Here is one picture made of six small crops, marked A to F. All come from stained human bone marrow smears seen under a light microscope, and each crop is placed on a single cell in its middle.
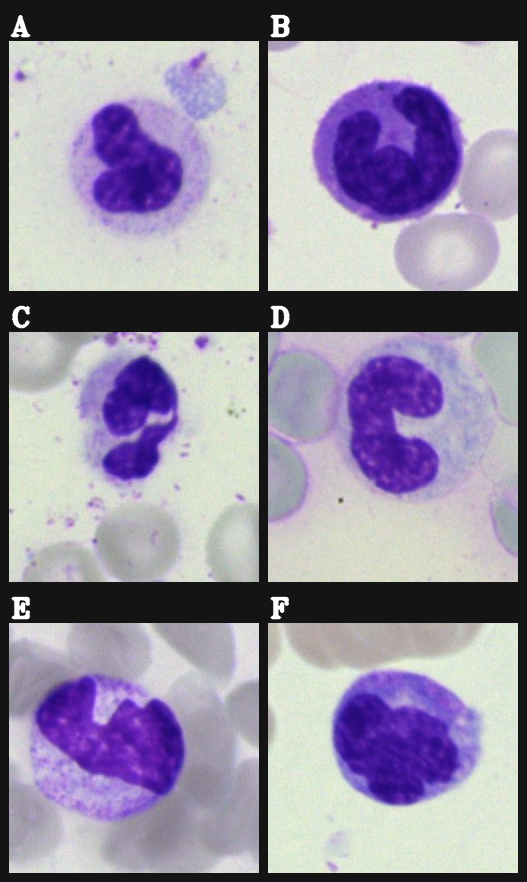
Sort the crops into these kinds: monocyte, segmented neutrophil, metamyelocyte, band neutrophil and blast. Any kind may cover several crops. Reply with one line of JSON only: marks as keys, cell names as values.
{"A": "band neutrophil", "B": "monocyte", "C": "segmented neutrophil", "D": "band neutrophil", "E": "band neutrophil", "F": "monocyte"}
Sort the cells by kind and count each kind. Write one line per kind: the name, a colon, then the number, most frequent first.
band neutrophil: 3
monocyte: 2
segmented neutrophil: 1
